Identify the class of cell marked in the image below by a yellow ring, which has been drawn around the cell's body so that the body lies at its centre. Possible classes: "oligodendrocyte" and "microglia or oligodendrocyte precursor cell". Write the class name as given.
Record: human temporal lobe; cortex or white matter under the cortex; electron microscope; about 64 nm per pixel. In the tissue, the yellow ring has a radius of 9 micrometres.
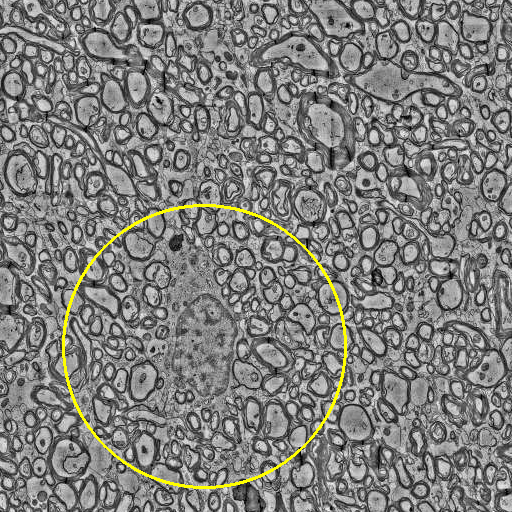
oligodendrocyte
